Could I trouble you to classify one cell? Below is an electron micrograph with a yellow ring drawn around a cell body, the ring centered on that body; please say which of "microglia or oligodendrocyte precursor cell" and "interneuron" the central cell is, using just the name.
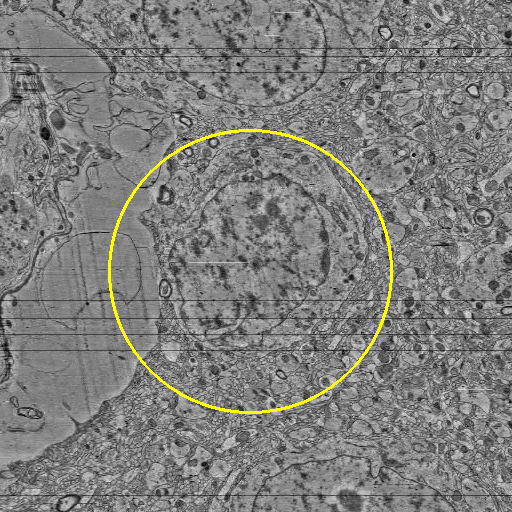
interneuron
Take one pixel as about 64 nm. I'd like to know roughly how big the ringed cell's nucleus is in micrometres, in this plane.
The nucleus comes to roughly 11 by 9 micrometres in this plane.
